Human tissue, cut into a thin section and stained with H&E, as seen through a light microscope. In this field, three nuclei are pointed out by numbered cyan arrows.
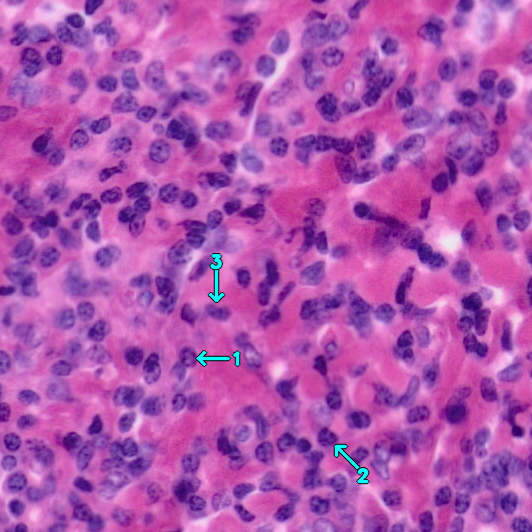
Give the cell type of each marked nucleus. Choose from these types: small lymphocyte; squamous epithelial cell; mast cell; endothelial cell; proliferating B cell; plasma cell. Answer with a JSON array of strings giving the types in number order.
["plasma cell", "plasma cell", "mast cell"]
